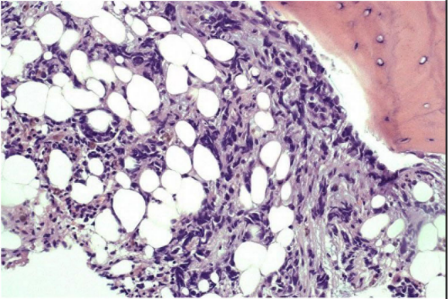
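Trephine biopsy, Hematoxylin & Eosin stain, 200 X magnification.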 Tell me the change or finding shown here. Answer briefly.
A: non-hemic cellular infiltration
